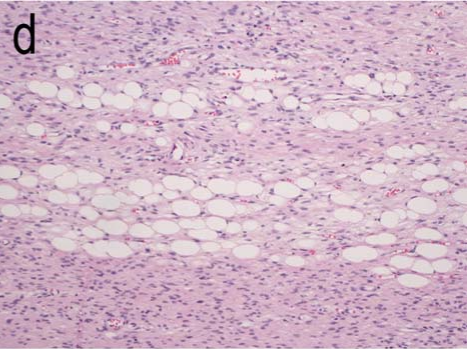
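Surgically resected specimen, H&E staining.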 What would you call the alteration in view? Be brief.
tumor cells infiltrated into adipose tissue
